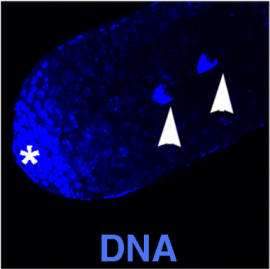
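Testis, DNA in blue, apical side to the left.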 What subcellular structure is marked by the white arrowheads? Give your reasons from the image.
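The arrowheads point to small, compact, bright blue bodies. These bodies are far fewer and more condensed than the dense mass of round nuclei at the left tip.
Conclusion: Clustered nuclei of spermatid cysts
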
